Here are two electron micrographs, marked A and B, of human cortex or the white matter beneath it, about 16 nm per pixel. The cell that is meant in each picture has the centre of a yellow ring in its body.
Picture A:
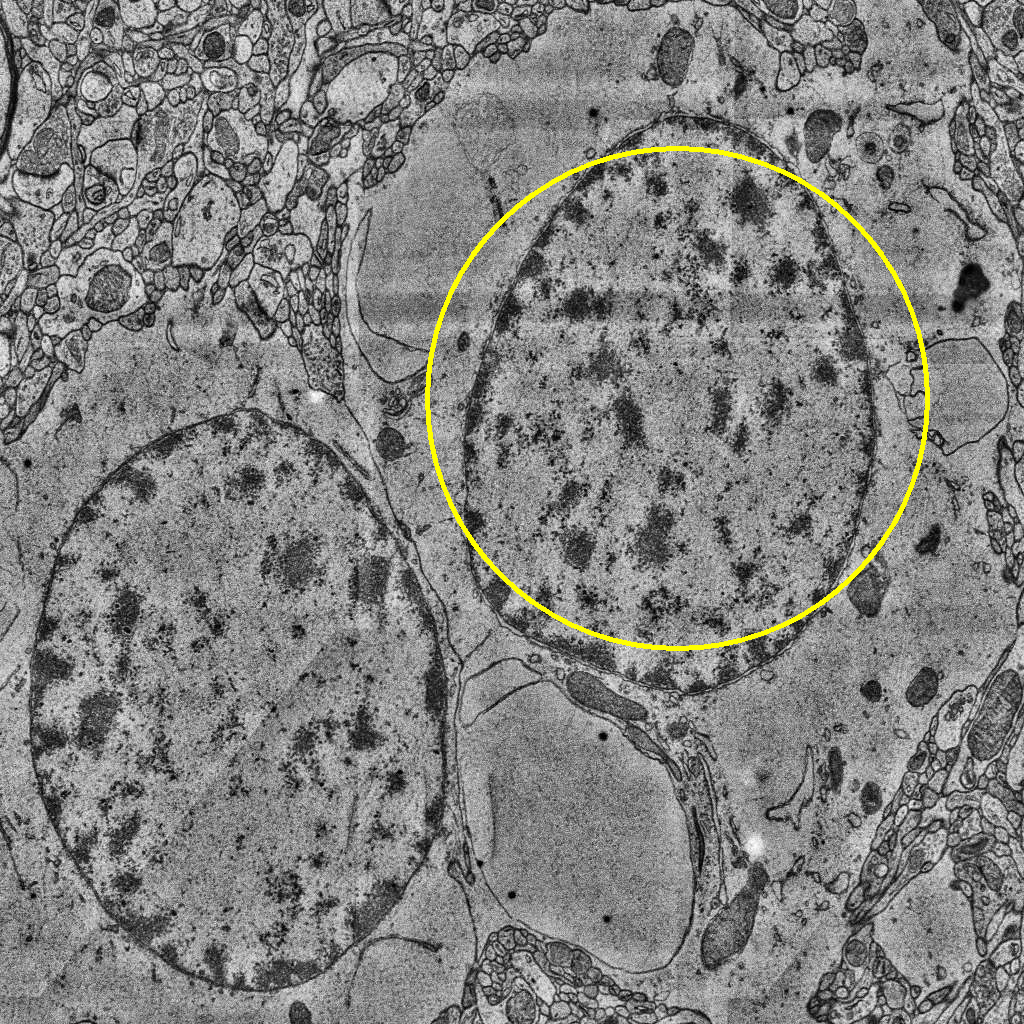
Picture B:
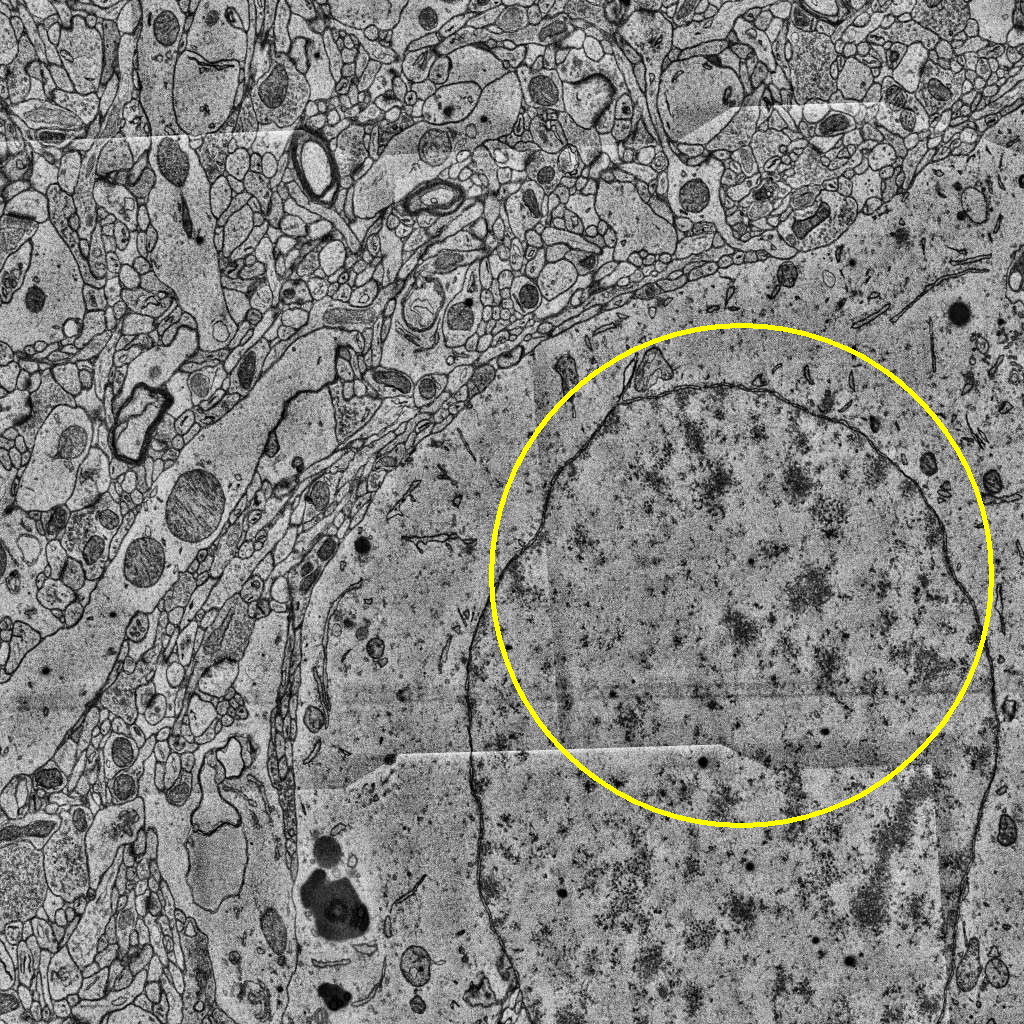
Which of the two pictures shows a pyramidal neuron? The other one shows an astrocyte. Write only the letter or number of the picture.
B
